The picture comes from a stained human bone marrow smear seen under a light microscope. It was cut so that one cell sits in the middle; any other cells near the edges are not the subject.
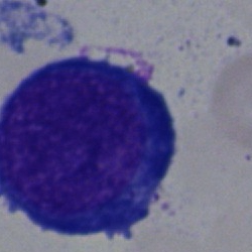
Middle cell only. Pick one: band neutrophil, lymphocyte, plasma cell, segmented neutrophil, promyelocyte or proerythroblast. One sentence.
Where the crop is centred, there is a proerythroblast.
